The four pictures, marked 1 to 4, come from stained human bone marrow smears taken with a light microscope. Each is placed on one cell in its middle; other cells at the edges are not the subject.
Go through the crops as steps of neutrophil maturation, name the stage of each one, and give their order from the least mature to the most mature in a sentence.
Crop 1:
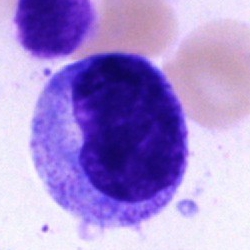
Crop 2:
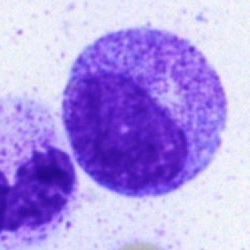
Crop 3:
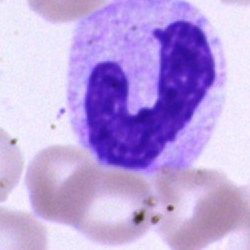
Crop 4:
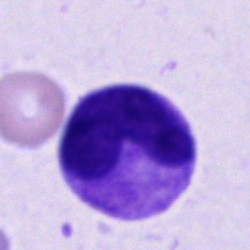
Sequenced by maturity from least to most, the crops are crop 1 (a promyelocyte), crop 2 (a myelocyte), crop 4 (a metamyelocyte) and crop 3 (a band neutrophil).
